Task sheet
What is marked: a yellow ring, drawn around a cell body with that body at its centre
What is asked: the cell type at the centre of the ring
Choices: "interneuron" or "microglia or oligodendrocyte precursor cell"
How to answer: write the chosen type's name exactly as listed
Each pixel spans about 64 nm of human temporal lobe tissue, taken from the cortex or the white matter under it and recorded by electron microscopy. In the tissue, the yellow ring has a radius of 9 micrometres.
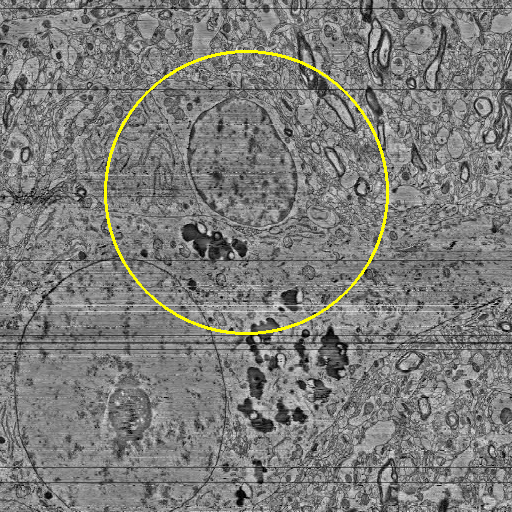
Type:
microglia or oligodendrocyte precursor cell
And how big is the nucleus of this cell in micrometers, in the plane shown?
The ringed cell's nucleus measures approximately 9 by 7 micrometres in this plane.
